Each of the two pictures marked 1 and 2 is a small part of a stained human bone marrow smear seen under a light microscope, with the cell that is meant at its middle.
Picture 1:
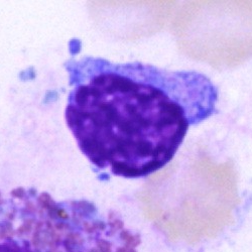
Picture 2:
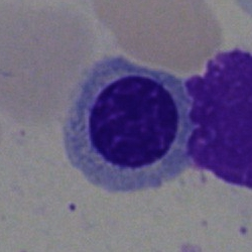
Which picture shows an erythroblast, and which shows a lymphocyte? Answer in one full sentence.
Picture 1 shows a lymphocyte and picture 2 shows an erythroblast.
